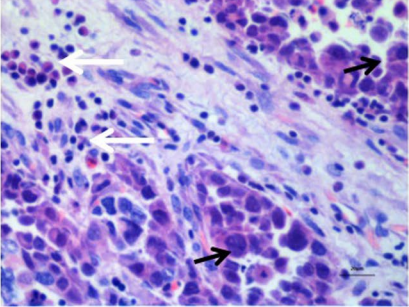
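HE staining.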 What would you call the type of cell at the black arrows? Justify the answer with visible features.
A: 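Tumor cells. The marked cells are large with big dark purple nuclei. They form clustered nests separate from the surrounding stroma.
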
